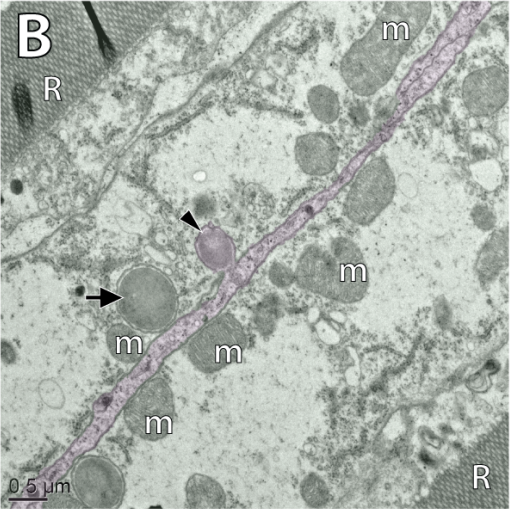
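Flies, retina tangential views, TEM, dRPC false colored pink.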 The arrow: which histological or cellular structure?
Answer: Vesicles within photoreceptors surrounded by a double membrane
